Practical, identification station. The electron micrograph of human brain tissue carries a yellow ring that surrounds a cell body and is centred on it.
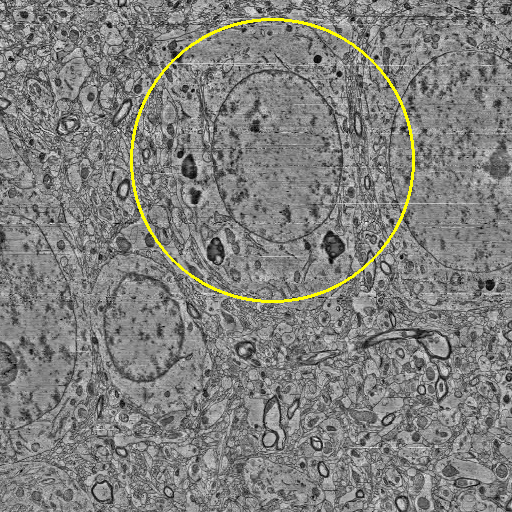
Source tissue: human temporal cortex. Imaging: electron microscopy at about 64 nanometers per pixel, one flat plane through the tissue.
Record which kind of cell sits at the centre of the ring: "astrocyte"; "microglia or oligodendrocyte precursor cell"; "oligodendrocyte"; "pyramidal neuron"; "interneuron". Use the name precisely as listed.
pyramidal neuron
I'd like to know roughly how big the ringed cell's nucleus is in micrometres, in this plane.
The ringed cell's nucleus is about 11 micrometres long and 8 micrometres wide in this plane.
